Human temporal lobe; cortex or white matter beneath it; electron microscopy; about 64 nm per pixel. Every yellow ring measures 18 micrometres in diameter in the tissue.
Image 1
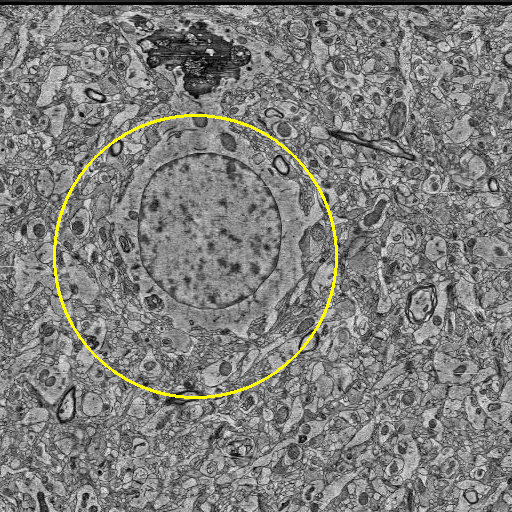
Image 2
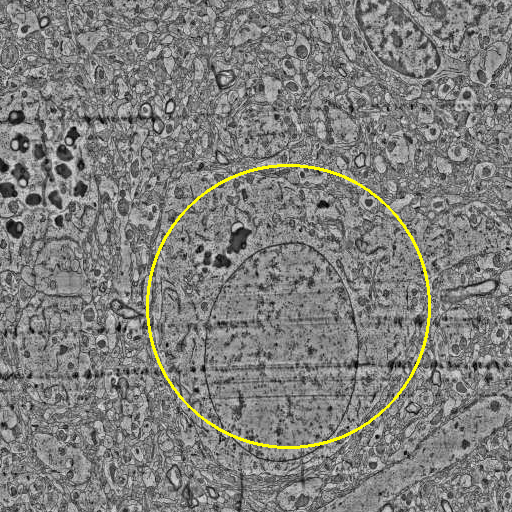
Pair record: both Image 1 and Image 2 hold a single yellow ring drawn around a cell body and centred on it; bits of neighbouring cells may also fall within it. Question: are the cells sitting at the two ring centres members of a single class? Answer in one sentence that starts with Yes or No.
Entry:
No, the ring-centre cells in Image 1 and Image 2 come from two classes.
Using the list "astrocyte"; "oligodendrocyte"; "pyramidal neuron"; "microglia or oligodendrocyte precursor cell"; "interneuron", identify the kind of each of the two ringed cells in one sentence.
The first is an astrocyte and the second is a pyramidal neuron.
